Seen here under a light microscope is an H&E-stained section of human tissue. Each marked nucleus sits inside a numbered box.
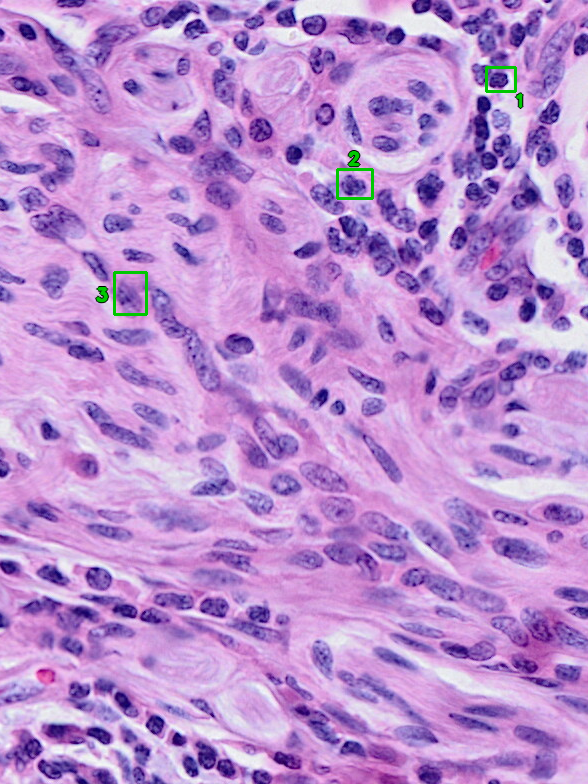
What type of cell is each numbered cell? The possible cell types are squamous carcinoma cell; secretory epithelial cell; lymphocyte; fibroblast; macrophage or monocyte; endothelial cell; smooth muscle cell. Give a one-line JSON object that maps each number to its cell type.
{"1": "lymphocyte", "2": "lymphocyte", "3": "endothelial cell"}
